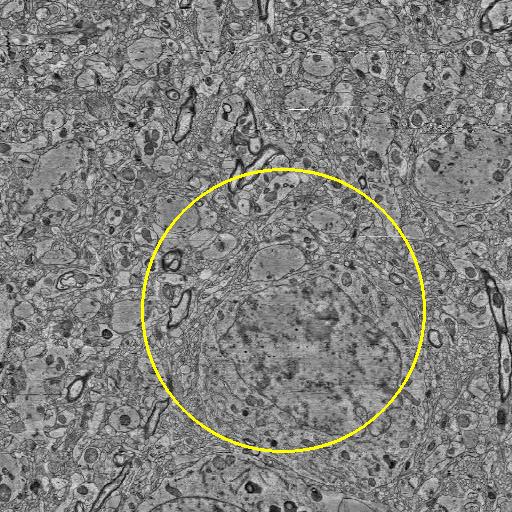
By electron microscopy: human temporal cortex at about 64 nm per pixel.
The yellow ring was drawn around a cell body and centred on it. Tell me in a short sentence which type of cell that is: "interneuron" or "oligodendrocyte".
The cell at the ring's centre is an interneuron.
